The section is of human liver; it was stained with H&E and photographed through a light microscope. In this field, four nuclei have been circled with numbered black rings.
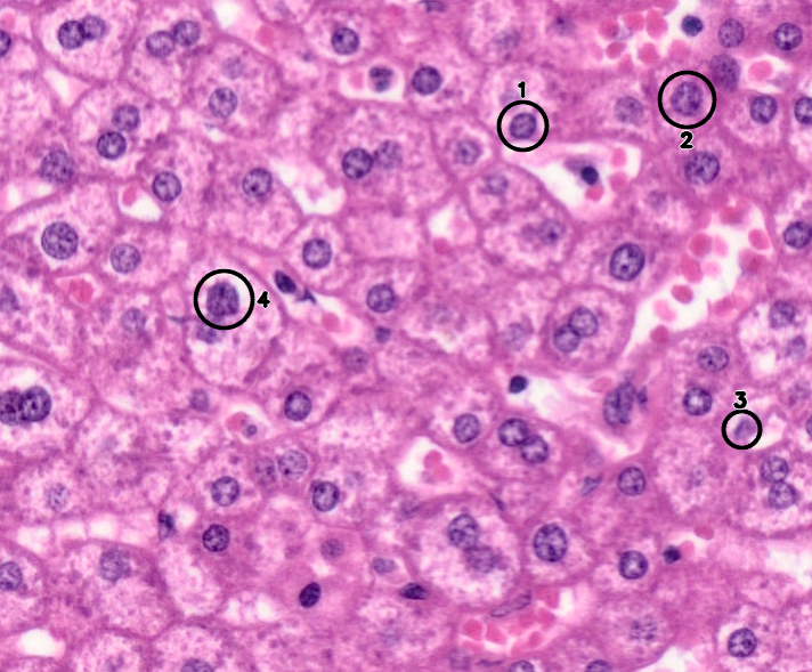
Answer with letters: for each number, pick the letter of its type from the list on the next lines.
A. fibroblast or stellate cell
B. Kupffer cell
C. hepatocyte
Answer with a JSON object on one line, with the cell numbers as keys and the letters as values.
{"1": "C", "2": "C", "3": "B", "4": "C"}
